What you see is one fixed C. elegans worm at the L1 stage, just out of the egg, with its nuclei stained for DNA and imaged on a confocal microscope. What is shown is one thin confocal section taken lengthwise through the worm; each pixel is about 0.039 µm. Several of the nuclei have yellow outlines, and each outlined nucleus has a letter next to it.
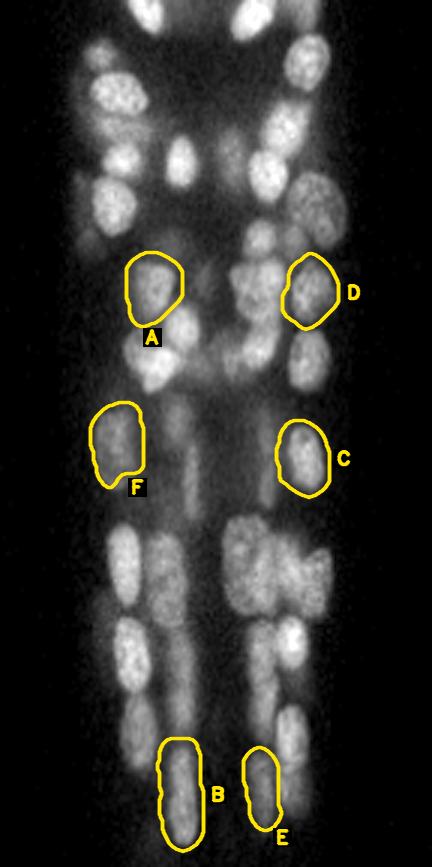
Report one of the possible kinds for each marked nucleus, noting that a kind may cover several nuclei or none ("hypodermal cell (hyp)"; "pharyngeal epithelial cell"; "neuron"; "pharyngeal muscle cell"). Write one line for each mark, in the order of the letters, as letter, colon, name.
A: pharyngeal muscle cell
B: pharyngeal epithelial cell
C: hypodermal cell (hyp)
D: hypodermal cell (hyp)
E: pharyngeal epithelial cell
F: hypodermal cell (hyp)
